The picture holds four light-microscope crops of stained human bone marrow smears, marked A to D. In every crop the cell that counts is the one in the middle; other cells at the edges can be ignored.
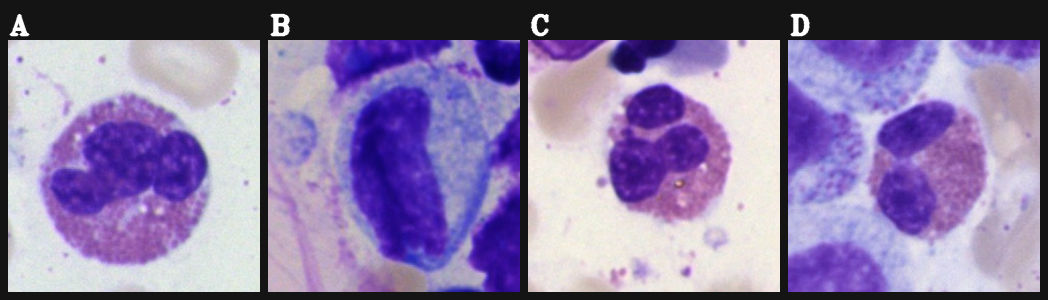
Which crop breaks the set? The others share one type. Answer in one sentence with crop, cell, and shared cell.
Where the others show eosinophils, crop B shows a metamyelocyte.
